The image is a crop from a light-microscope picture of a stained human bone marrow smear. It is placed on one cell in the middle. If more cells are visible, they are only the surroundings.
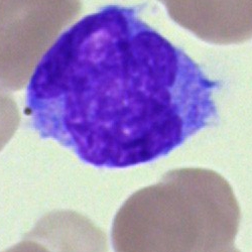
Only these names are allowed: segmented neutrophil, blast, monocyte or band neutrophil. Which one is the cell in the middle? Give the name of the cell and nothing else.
monocyte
